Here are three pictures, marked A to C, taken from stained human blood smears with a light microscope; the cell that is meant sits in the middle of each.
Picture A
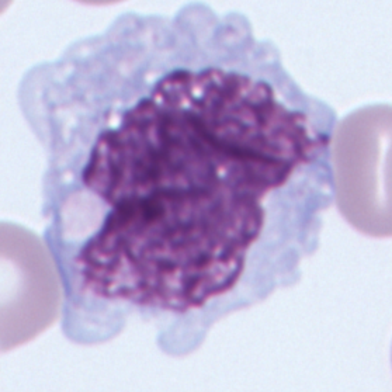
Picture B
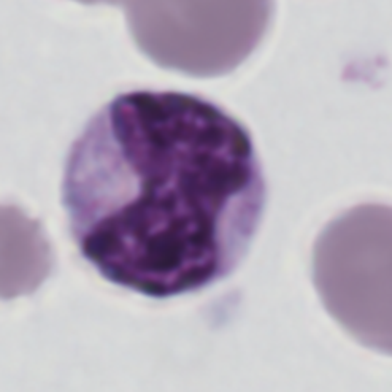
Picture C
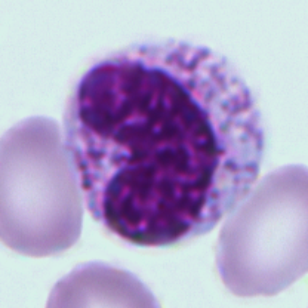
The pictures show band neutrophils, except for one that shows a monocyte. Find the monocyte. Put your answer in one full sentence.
The cell in picture A is the monocyte.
